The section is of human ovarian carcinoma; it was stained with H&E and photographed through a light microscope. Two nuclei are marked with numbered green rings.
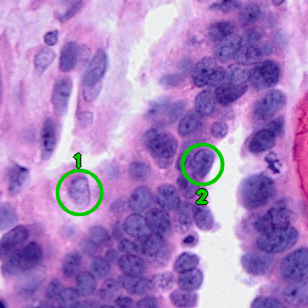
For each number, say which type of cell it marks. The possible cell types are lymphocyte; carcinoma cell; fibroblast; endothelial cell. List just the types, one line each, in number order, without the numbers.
fibroblast
carcinoma cell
